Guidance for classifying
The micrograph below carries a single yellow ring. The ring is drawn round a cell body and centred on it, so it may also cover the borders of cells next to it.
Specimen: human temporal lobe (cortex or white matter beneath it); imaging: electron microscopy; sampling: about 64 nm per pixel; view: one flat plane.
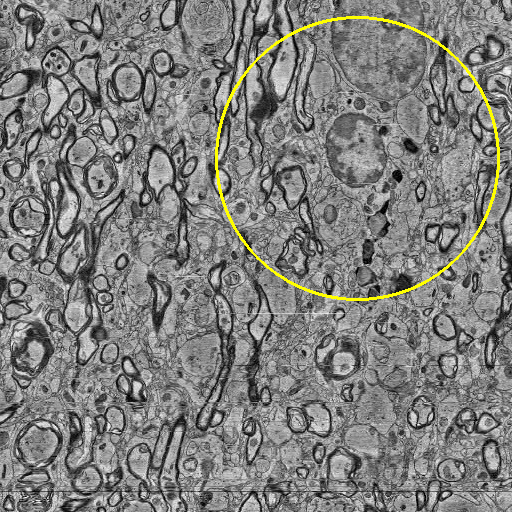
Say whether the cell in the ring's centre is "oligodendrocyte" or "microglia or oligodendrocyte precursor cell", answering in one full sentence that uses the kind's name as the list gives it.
Within the yellow ring, a microglial cell or oligodendrocyte precursor cell is the cell whose body sits at the centre.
